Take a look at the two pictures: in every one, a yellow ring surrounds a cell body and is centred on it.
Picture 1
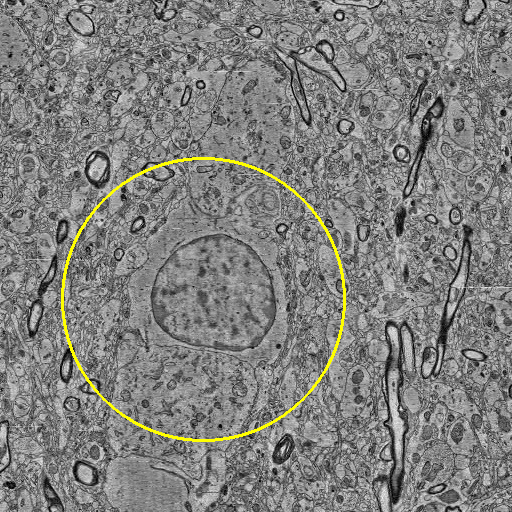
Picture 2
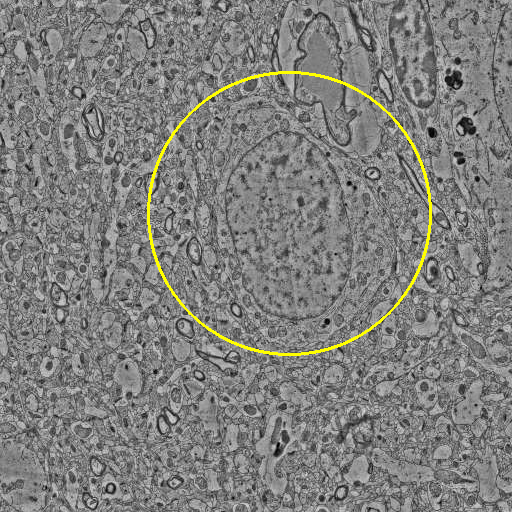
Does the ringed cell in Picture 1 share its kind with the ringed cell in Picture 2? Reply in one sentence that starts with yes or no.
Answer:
No, the two centred cells, one per picture, are of two kinds.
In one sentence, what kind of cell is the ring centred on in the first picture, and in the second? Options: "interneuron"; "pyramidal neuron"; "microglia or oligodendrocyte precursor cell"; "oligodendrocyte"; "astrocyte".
The cell at the centre of the second ring is an interneuron; the first ring's cell is a microglial cell or oligodendrocyte precursor cell.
